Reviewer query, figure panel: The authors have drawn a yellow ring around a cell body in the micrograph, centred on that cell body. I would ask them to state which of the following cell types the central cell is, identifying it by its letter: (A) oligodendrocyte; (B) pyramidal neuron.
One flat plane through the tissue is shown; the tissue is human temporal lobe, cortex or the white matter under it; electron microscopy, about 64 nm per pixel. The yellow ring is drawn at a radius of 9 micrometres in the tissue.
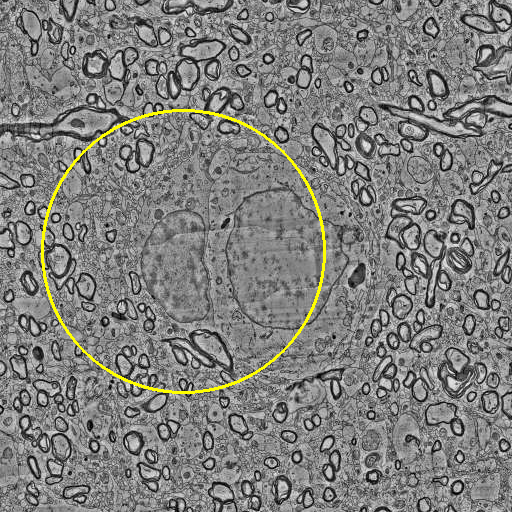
A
